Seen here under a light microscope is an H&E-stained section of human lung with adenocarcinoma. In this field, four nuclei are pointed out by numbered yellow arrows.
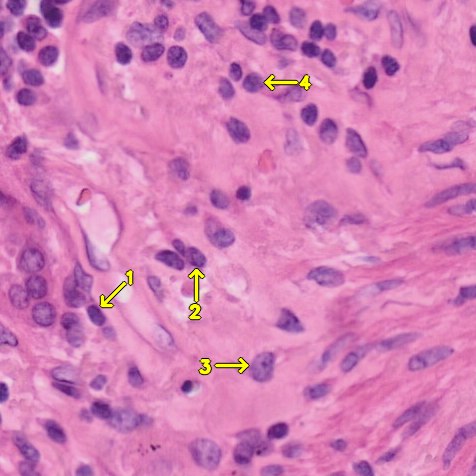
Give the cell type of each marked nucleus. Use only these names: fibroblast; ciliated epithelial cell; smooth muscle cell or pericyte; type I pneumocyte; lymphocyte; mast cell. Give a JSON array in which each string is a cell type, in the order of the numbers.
["lymphocyte", "lymphocyte", "fibroblast", "lymphocyte"]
